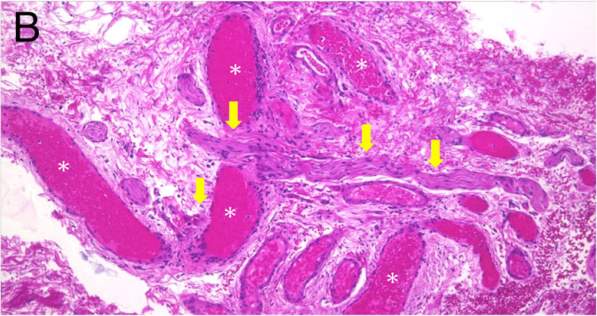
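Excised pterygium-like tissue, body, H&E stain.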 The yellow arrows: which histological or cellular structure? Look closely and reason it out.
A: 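The arrows point to an elongated bundle of wavy fibres with slender nuclei. The bundle runs between the vessels. That points to this answer: peripheral nerve.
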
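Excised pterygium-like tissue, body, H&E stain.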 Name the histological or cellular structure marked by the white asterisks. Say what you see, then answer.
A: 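The asterisks lie in large lumens packed with red cells. The lumens are lined by a thin wall. That points to this answer: dilated blood vessels.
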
